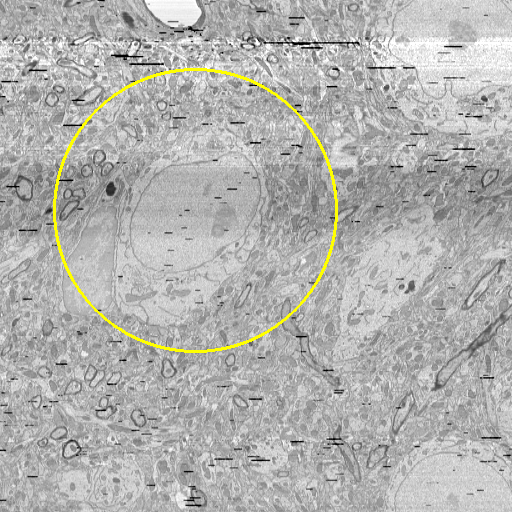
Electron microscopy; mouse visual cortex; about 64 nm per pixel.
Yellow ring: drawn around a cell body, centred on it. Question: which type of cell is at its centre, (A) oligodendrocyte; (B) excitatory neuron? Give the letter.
B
